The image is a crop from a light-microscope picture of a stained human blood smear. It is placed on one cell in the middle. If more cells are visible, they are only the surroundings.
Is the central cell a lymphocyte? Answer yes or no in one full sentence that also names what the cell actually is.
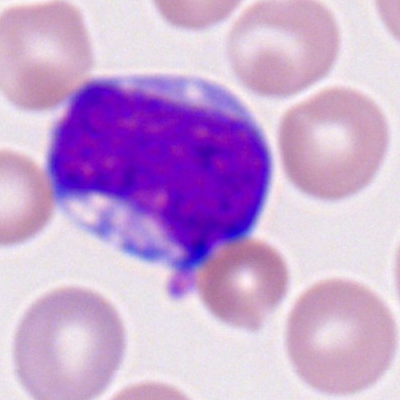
No, the cell at the centre of the crop corresponds to a blast, not a lymphocyte.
